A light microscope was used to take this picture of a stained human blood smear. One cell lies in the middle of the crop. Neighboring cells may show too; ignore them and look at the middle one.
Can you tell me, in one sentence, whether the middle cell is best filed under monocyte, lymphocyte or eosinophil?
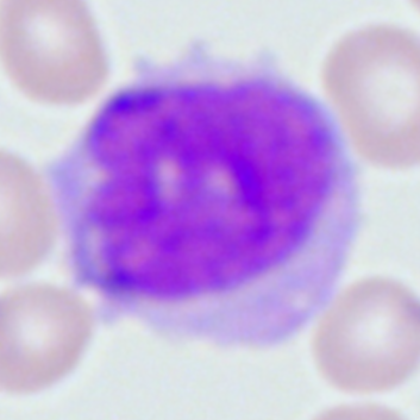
As for the cell in the middle, it is a monocyte.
